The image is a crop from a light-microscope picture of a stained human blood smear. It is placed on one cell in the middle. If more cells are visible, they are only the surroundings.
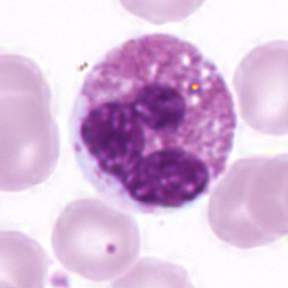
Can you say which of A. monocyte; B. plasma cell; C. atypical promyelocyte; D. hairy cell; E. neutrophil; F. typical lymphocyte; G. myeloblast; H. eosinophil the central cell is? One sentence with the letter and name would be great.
Occupying the middle of the crop is an eosinophil, hence option H is correct.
